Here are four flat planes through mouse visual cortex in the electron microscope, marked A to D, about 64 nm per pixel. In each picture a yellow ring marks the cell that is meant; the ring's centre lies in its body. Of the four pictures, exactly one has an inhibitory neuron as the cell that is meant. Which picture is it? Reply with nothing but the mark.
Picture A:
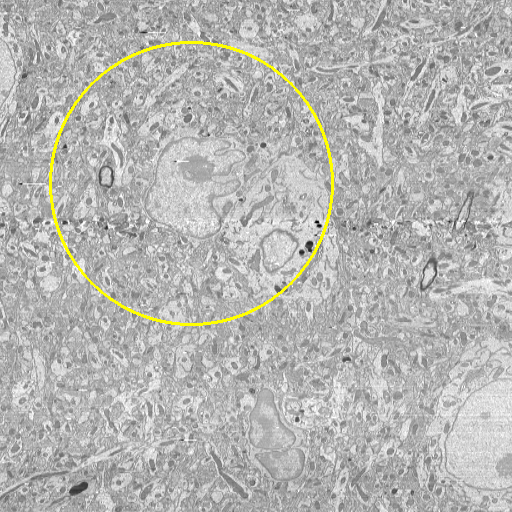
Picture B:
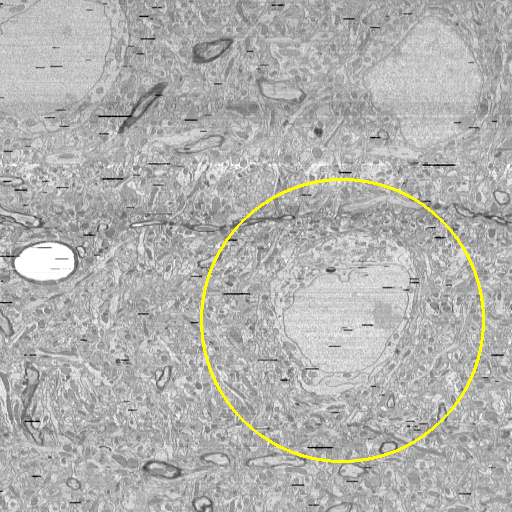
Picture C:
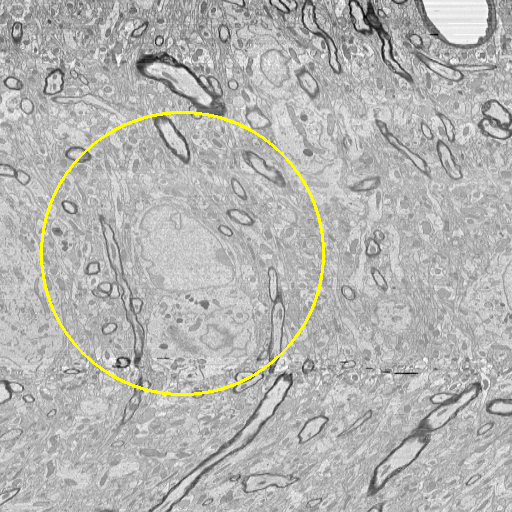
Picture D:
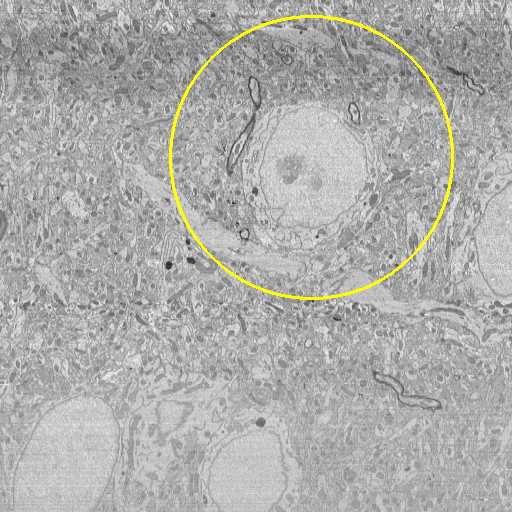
D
